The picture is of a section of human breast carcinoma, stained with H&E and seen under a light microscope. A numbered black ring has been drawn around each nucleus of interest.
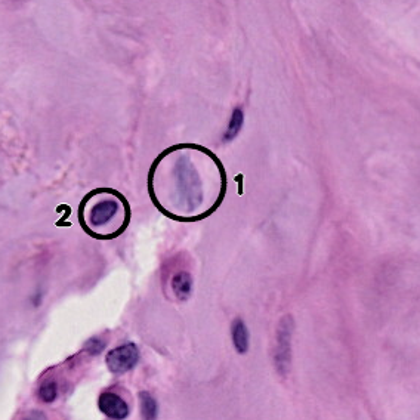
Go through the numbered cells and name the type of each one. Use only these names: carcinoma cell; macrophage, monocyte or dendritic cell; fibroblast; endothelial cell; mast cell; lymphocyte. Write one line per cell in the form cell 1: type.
cell 1: fibroblast
cell 2: lymphocyte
